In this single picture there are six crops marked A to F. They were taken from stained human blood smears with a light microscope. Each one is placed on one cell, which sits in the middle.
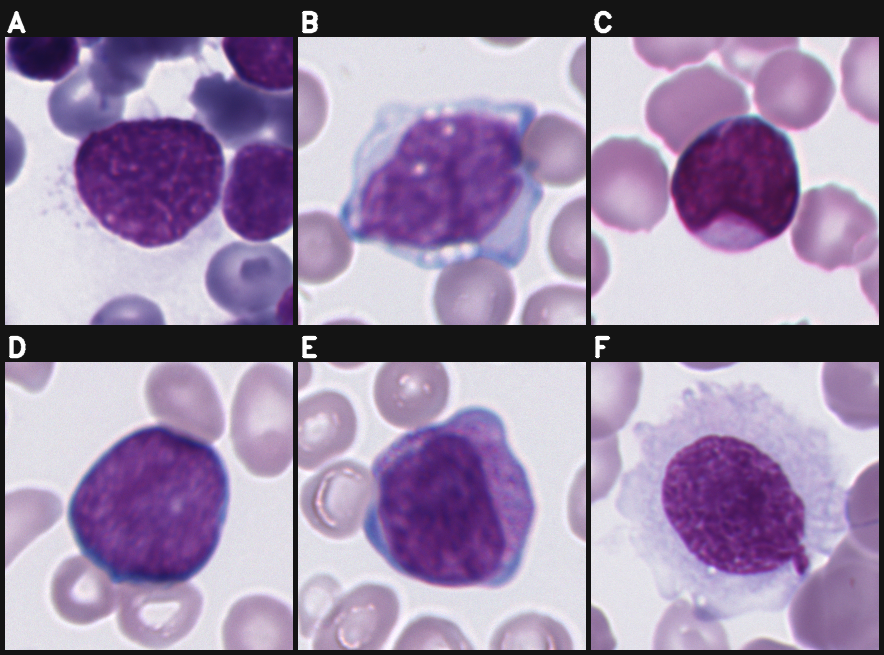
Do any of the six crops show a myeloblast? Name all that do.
B, C, D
